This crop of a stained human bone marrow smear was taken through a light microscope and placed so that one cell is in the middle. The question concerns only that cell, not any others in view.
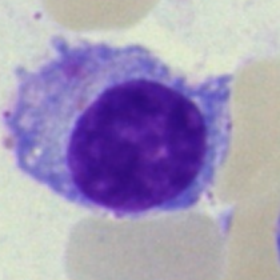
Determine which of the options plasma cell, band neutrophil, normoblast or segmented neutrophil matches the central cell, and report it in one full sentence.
On this slide crop, the central cell is a plasma cell.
